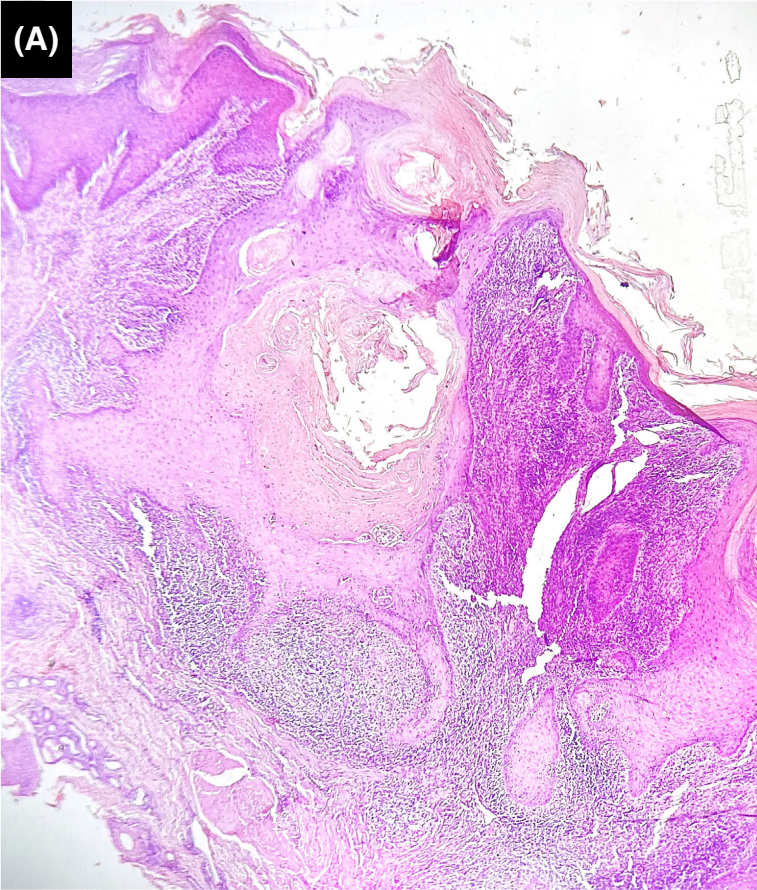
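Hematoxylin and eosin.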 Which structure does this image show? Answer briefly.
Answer: Central keratinous crater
